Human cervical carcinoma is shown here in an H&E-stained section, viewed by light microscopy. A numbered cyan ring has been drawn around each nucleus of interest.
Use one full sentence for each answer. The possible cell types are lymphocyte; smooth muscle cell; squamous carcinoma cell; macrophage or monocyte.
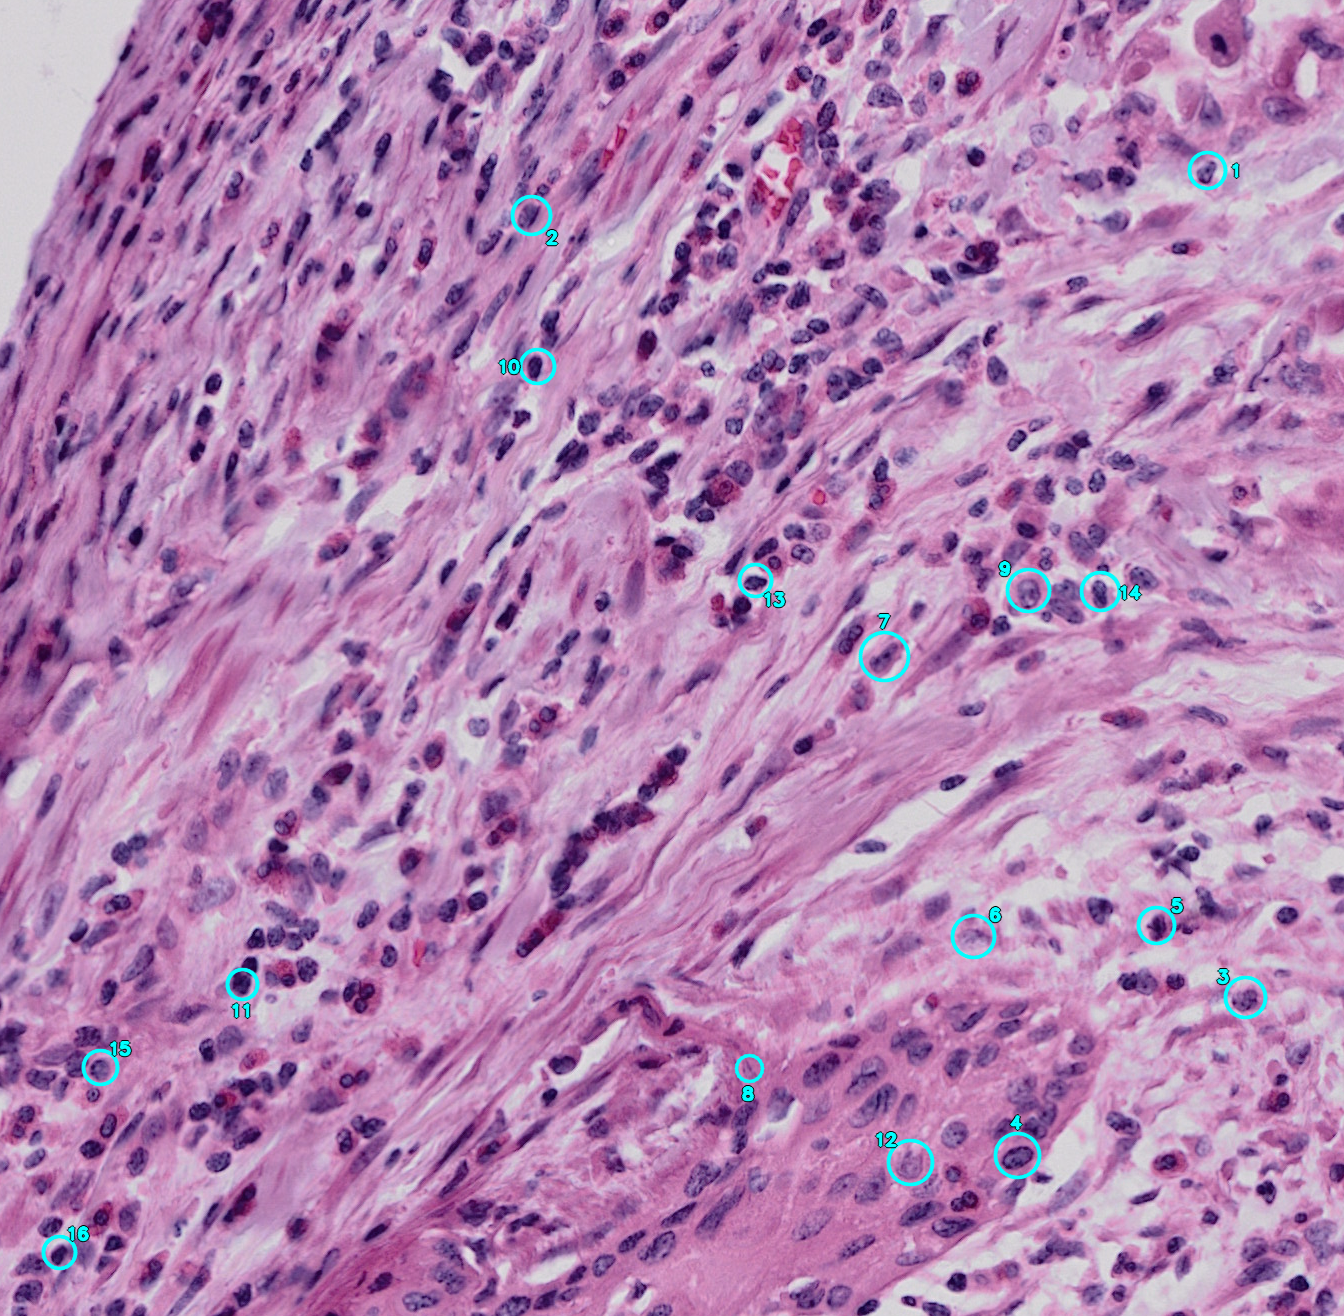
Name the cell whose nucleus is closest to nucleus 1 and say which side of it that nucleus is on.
The closest nucleus belongs to a macrophage or monocyte and sits above and to the left of nucleus 1.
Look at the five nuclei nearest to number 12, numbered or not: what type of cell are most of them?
Most of the five nuclei nearest to number 12 are those of squamous carcinoma cells.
